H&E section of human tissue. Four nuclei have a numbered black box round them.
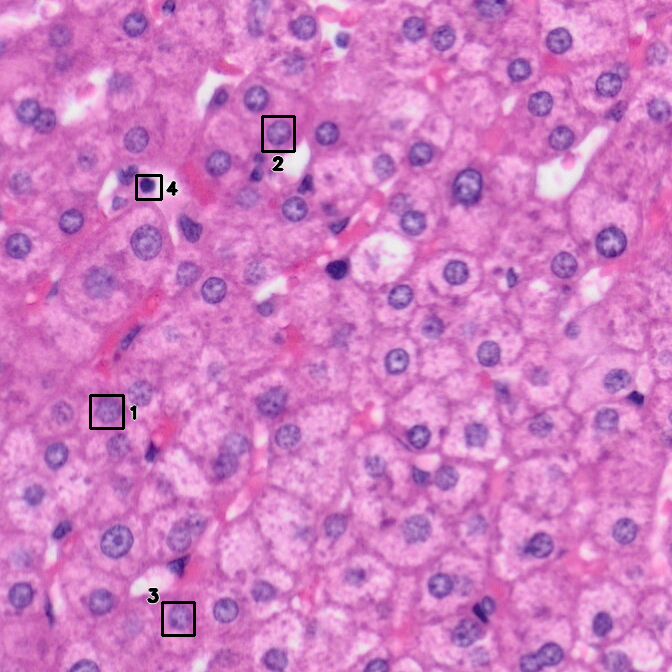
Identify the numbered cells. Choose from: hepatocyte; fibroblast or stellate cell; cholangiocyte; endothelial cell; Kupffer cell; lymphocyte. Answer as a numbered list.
1. hepatocyte
2. hepatocyte
3. hepatocyte
4. lymphocyte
